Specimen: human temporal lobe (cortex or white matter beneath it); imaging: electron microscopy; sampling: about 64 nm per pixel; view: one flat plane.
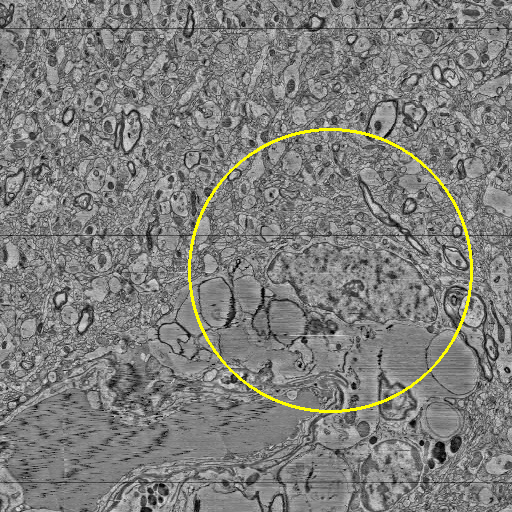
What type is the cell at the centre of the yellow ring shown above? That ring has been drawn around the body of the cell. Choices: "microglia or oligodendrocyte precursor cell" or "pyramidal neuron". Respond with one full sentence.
My answer is that a microglial cell or oligodendrocyte precursor cell lies at the centre of the yellow ring above.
